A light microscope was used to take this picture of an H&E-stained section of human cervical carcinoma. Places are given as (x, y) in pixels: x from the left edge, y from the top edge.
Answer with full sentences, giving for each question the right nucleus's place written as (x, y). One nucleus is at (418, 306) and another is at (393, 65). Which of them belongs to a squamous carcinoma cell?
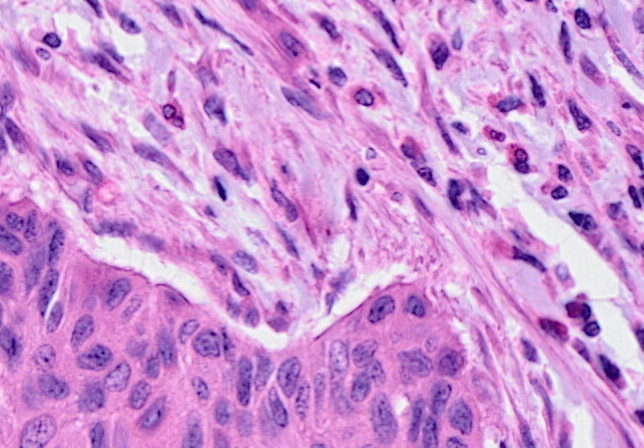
The nucleus lying at (418, 306) is the nucleus of a squamous carcinoma cell.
